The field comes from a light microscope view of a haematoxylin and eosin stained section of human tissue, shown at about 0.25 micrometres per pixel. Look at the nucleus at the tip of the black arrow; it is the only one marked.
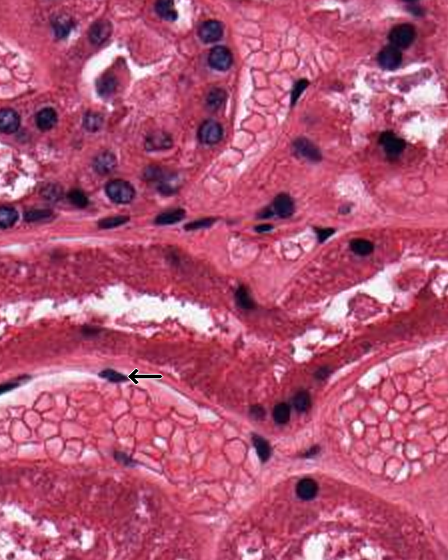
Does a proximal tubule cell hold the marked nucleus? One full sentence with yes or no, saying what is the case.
No, for the marked nucleus, the owning cell is a supporting cell, not a proximal tubule cell.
